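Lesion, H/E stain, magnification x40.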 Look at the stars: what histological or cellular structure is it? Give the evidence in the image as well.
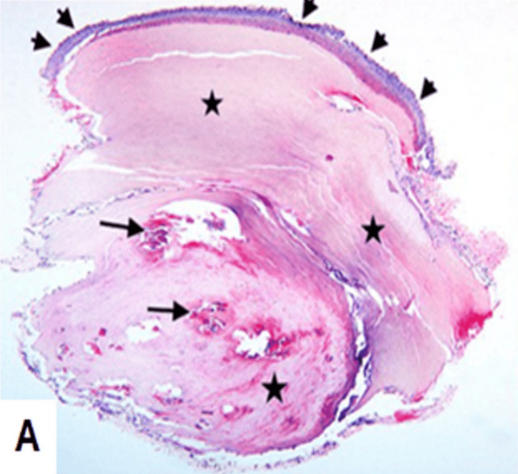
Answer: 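The stars lie on large pale pink acellular material filling the cavity. The material is homogeneous and lacks nuclei, with lamellar clefts. The answer: compact mass of amorphous keratin.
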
